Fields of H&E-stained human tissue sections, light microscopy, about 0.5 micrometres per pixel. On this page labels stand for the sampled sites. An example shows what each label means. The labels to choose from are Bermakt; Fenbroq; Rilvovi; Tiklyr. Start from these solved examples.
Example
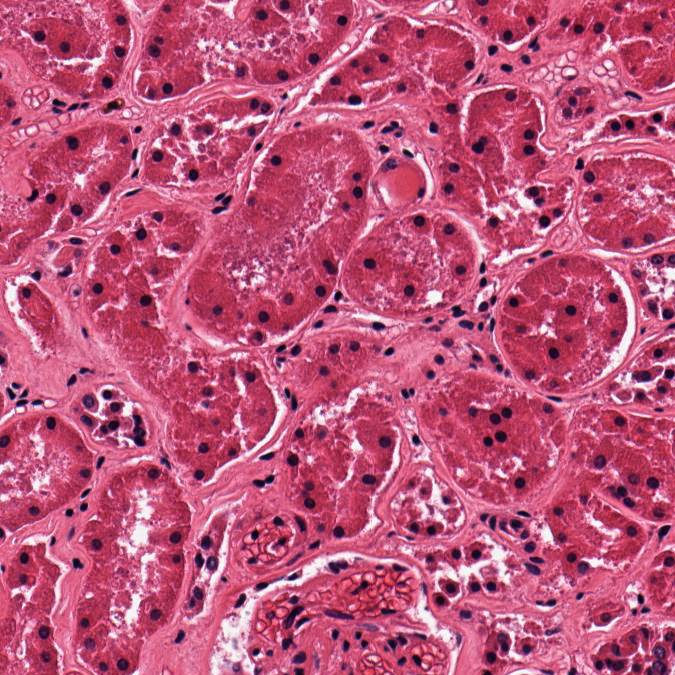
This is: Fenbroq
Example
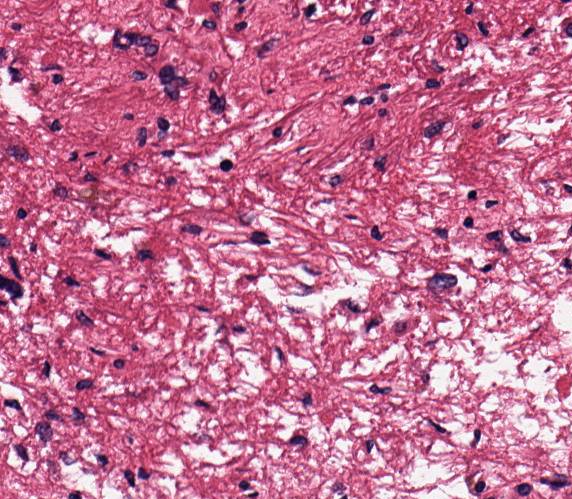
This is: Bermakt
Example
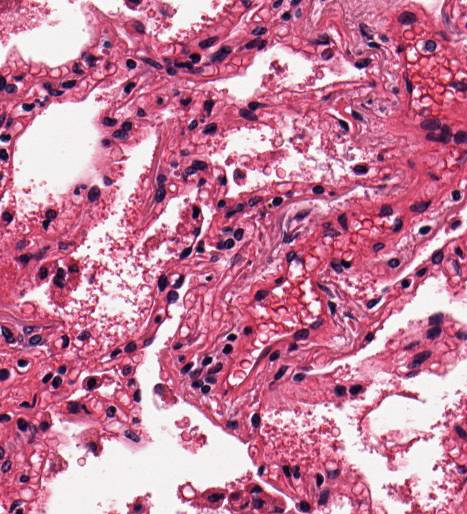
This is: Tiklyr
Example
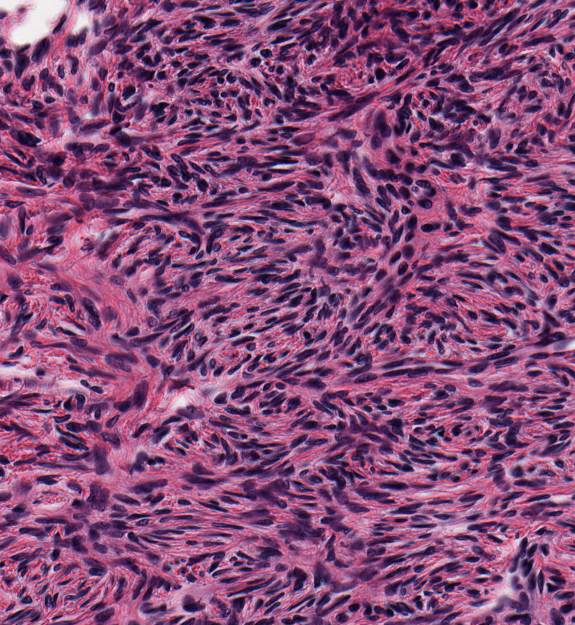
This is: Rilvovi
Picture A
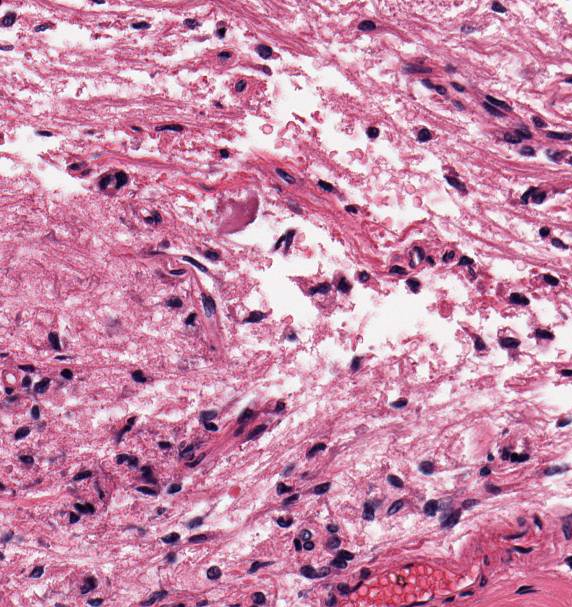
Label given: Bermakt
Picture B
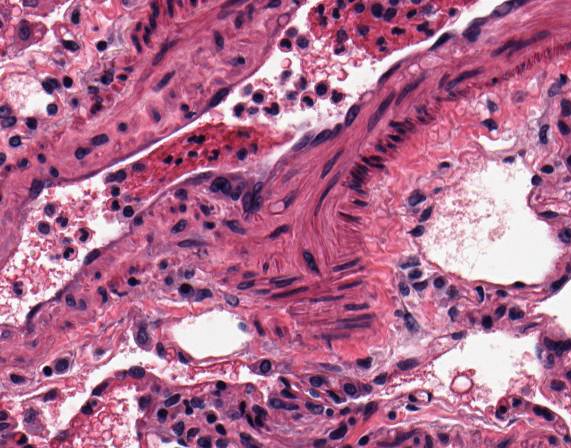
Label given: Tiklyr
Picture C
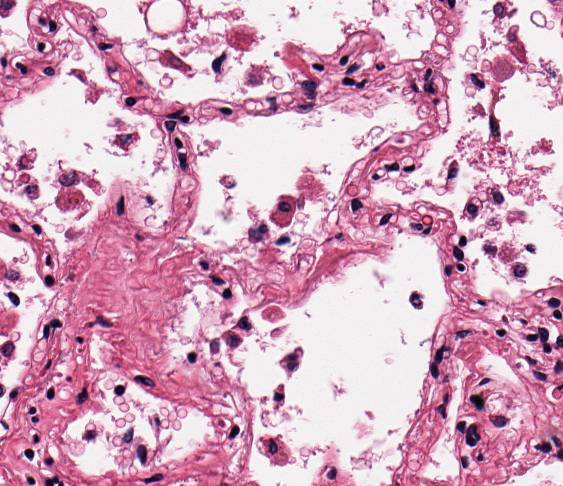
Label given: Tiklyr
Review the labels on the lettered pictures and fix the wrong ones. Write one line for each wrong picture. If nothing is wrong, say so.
None of the labels needs changing.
